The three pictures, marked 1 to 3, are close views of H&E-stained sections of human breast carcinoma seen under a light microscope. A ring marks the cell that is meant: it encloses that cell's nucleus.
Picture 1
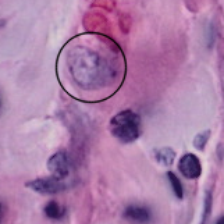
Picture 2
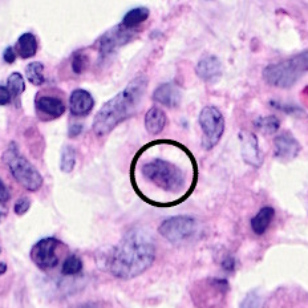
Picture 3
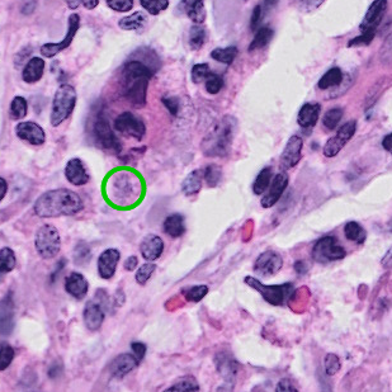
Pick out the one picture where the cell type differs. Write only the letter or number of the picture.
1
